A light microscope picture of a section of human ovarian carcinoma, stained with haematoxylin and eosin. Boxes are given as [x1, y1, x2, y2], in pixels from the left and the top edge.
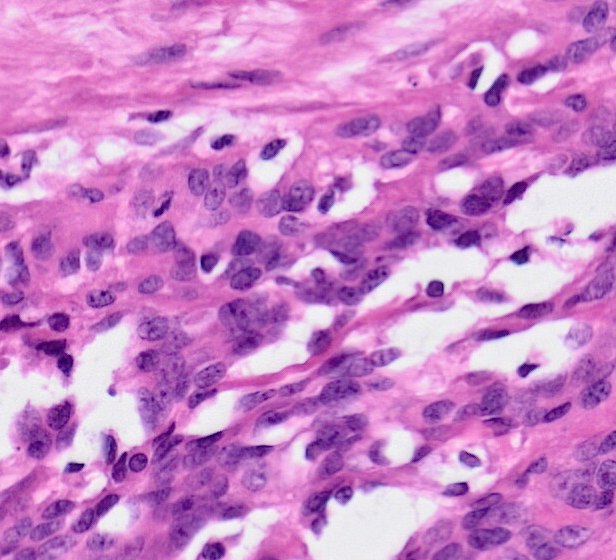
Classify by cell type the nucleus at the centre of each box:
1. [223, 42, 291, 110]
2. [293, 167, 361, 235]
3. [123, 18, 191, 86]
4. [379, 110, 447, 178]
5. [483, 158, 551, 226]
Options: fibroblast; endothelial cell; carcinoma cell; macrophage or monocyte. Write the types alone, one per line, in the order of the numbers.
fibroblast
carcinoma cell
fibroblast
carcinoma cell
carcinoma cell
